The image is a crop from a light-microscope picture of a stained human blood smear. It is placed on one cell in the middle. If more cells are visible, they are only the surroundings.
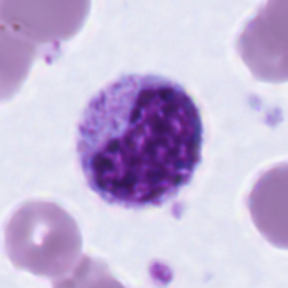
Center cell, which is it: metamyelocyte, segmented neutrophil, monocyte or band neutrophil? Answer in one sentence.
The cell at the central position in this crop is a metamyelocyte.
